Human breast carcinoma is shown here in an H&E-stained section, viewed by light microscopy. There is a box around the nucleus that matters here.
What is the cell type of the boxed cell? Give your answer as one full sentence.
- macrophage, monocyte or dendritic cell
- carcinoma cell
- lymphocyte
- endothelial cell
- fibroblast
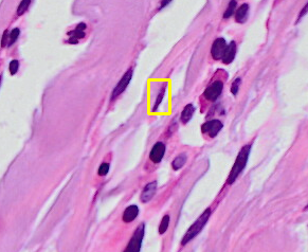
In cell-type terms, the boxed cell is a fibroblast.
